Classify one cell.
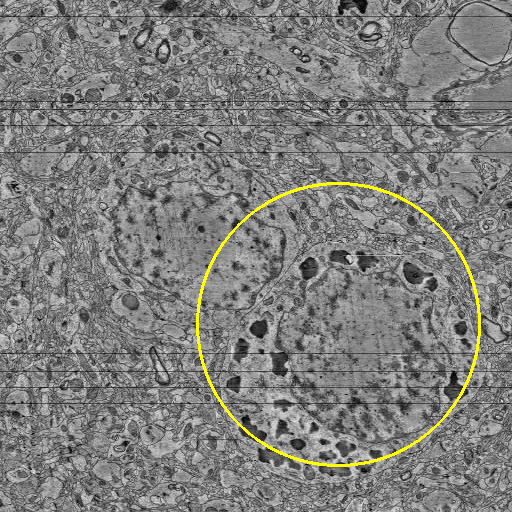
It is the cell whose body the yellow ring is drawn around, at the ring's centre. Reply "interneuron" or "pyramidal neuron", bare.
interneuron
